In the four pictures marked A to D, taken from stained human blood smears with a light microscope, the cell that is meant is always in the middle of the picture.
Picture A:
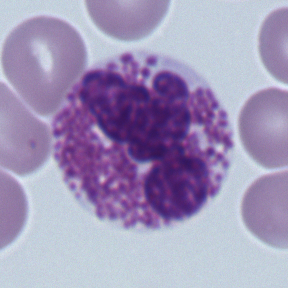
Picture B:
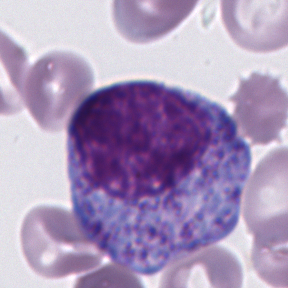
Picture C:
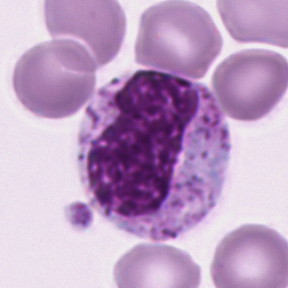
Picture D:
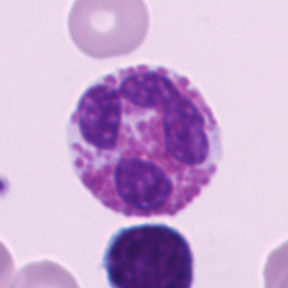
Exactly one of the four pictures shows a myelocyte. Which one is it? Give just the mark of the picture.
B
